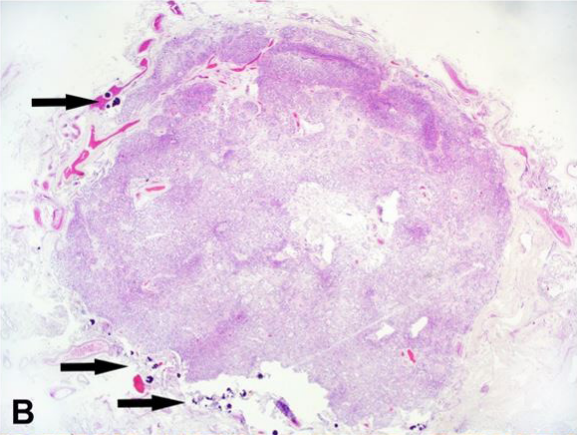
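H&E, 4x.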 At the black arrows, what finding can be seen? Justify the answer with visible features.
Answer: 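Micro calcifications. The arrows point to small dark purple granular deposits. The deposits lie at the edge of the nodule.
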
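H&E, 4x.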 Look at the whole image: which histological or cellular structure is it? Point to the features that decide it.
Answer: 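Well- circumscribed nodular lesion. A rounded cellular mass fills most of the panel.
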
